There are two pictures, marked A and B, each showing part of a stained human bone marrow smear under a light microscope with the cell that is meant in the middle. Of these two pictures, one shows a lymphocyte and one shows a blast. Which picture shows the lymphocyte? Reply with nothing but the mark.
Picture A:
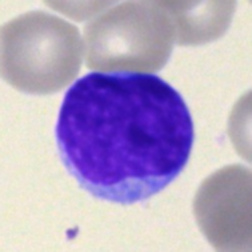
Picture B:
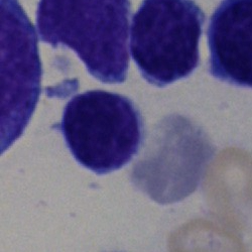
B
